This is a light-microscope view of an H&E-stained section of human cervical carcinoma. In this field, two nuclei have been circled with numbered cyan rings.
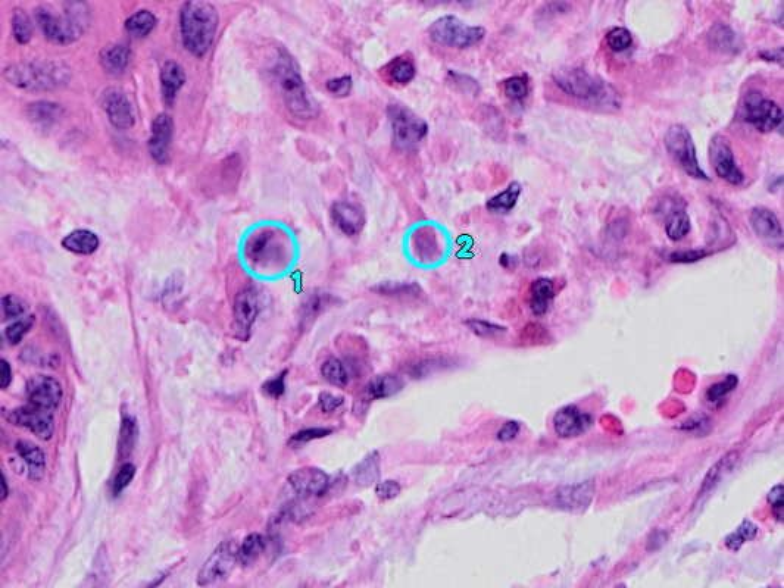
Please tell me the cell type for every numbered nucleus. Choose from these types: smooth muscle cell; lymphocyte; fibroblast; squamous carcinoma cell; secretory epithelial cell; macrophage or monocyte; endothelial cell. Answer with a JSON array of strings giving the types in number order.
["macrophage or monocyte", "fibroblast"]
